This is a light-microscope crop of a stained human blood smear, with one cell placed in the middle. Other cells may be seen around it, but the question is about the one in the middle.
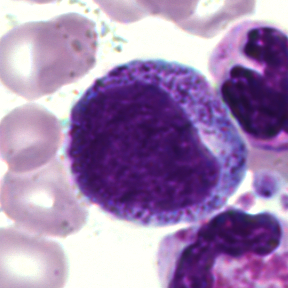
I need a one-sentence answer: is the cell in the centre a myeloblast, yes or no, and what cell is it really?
No, it is a promyelocyte rather than a myeloblast that the middle of the crop contains.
